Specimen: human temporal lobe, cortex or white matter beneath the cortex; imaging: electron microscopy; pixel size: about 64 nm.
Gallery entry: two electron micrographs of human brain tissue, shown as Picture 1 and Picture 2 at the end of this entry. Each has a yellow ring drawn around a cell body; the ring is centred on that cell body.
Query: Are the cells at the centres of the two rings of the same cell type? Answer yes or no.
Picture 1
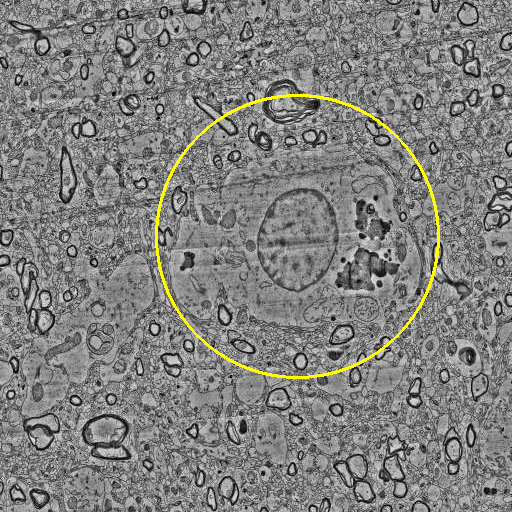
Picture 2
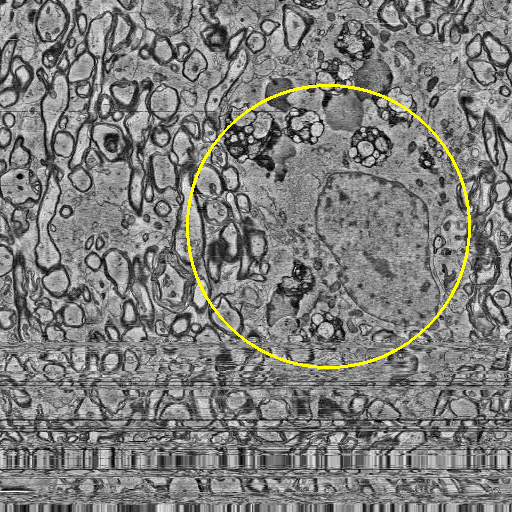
yes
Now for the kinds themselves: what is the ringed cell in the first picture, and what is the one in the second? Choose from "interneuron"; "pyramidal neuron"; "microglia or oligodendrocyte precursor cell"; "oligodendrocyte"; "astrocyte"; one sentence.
Each cell, in the first picture and the second, is an astrocyte.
